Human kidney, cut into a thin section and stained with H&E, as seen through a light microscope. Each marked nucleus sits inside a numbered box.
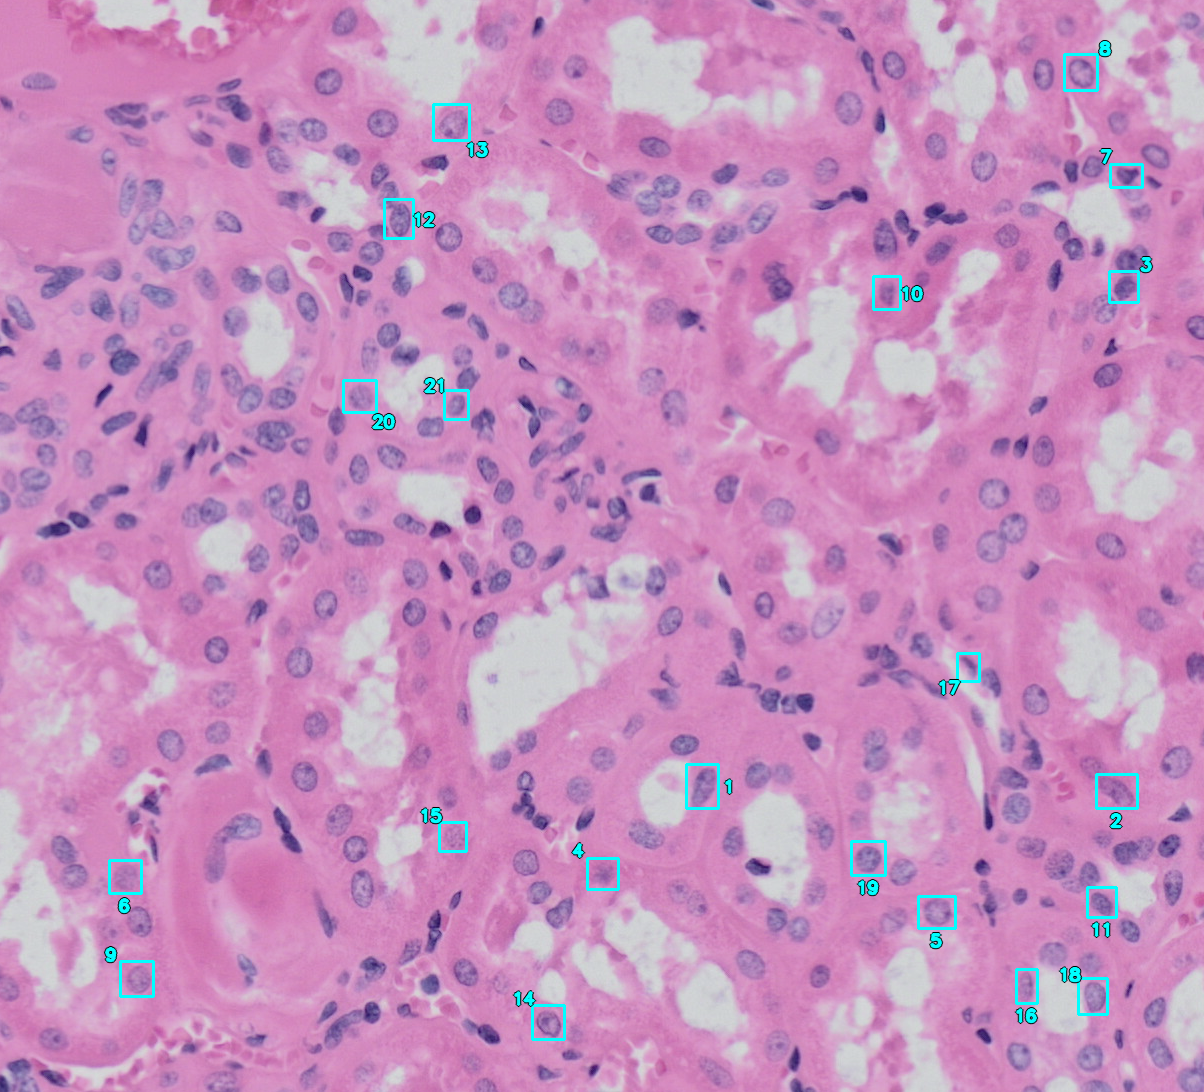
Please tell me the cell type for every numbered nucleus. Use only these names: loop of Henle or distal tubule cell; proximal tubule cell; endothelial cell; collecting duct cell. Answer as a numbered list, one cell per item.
1. loop of Henle or distal tubule cell
2. proximal tubule cell
3. collecting duct cell
4. proximal tubule cell
5. proximal tubule cell
6. proximal tubule cell
7. collecting duct cell
8. proximal tubule cell
9. proximal tubule cell
10. proximal tubule cell
11. collecting duct cell
12. collecting duct cell
13. proximal tubule cell
14. proximal tubule cell
15. proximal tubule cell
16. loop of Henle or distal tubule cell
17. collecting duct cell
18. loop of Henle or distal tubule cell
19. loop of Henle or distal tubule cell
20. collecting duct cell
21. collecting duct cell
